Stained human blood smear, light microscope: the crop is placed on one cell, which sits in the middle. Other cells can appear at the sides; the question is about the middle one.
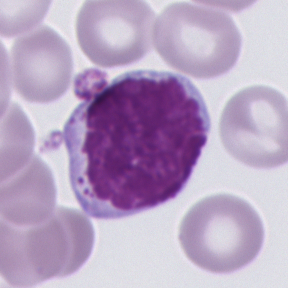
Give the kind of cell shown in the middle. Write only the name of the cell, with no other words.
large granular lymphocyte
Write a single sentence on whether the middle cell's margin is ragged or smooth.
If you check the edge, you will find it smooth without projections.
